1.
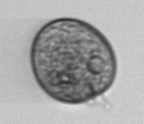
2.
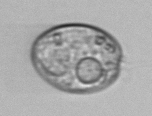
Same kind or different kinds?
Same: Prorocentrum.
